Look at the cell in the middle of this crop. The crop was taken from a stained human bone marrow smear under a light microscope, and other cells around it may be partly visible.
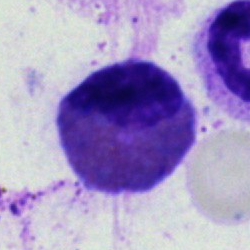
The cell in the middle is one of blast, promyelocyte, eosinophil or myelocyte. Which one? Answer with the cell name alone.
eosinophil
